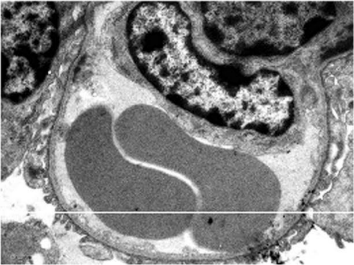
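Glomerular capillary loop in cross section with a patent, open lumen. Two large, smooth, dense curved bodies lie folded against each other within the lumen. The wall is thin and even, with a slender endothelial lining and small regular projections on the outer side. A cell with a large nucleus of patchy, clumped chromatin sits at the upper margin of the loop.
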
